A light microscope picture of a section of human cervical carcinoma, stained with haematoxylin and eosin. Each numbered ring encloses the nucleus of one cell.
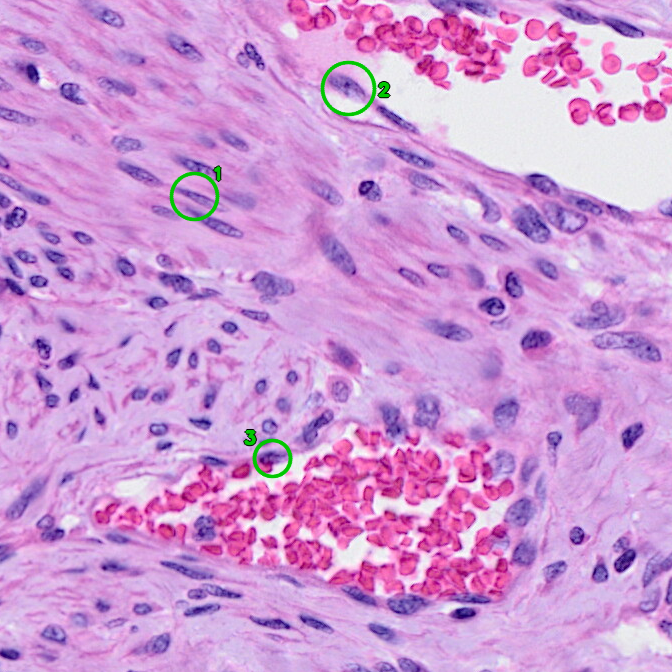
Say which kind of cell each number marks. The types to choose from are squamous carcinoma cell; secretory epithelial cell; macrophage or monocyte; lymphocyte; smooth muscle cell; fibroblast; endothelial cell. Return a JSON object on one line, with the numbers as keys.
{"1": "smooth muscle cell", "2": "endothelial cell", "3": "endothelial cell"}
